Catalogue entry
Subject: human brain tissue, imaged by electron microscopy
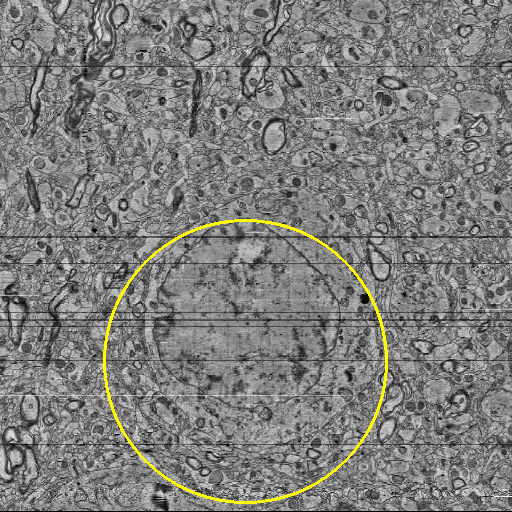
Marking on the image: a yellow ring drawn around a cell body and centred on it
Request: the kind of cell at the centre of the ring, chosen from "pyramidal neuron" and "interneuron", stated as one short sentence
The ring has a pyramidal neuron at its centre.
